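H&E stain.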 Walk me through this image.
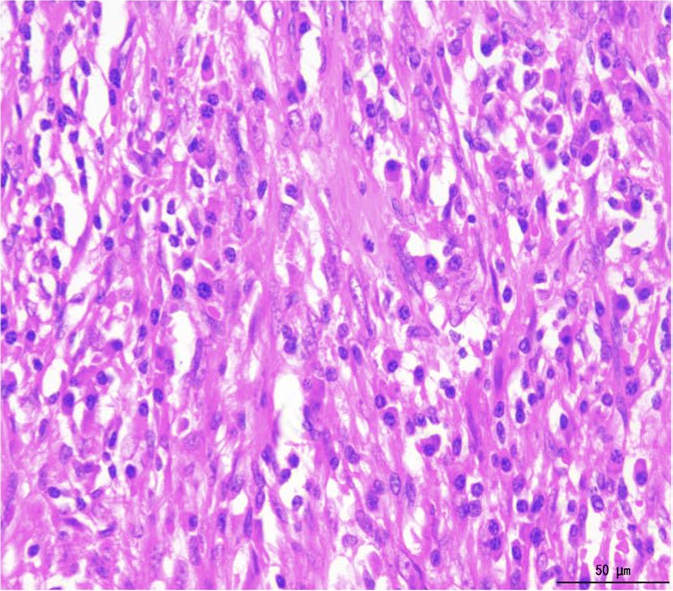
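This is a spindle cell lesion: spindle-shaped cells lie in a background of chronic inflammatory cells. The spindle cells have elongated to oval purple nuclei and long, tapering pink cytoplasm, and they run roughly in one direction through pale, loose pink stroma. Between them lie many small round cells with dark round nuclei, some with eccentric nuclei and a rim of pink cytoplasm. Clear spaces separate the cells in places.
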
